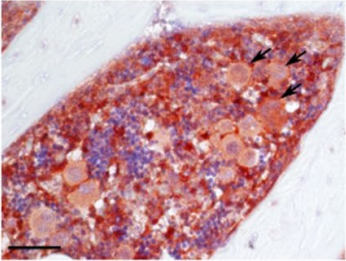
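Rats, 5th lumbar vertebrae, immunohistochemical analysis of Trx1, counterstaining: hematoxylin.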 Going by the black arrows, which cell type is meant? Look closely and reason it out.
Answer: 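Megakaryocytes. Several giant round cells lie among small densely packed cells. They have wide pale cytoplasm and a large central nucleus.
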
